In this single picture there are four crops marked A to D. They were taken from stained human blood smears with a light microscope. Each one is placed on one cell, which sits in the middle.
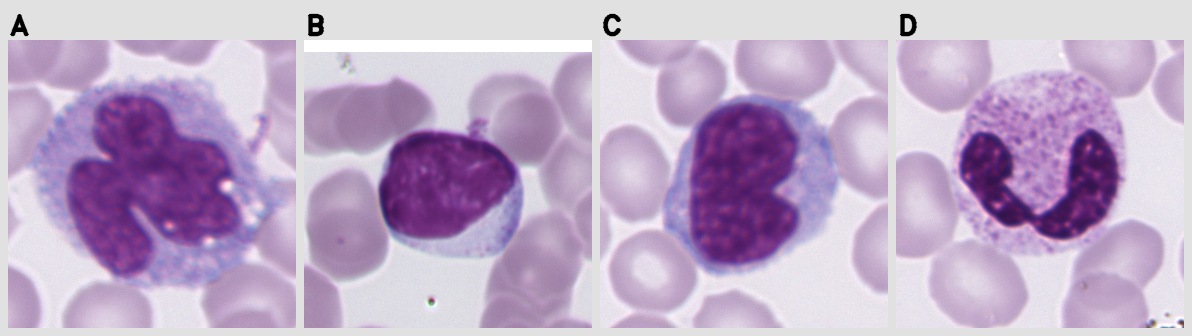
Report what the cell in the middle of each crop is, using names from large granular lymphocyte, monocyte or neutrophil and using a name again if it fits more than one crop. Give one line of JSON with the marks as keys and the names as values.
{"A": "monocyte", "B": "large granular lymphocyte", "C": "monocyte", "D": "neutrophil"}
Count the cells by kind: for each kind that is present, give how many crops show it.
monocyte: 2
large granular lymphocyte: 1
neutrophil: 1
